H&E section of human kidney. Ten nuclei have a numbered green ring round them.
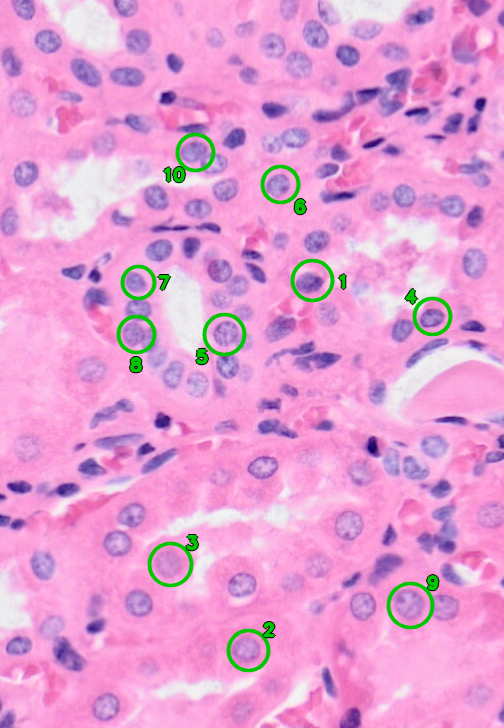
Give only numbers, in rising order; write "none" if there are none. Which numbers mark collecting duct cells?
5, 7, 8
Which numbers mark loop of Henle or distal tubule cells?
1, 4, 6, 10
